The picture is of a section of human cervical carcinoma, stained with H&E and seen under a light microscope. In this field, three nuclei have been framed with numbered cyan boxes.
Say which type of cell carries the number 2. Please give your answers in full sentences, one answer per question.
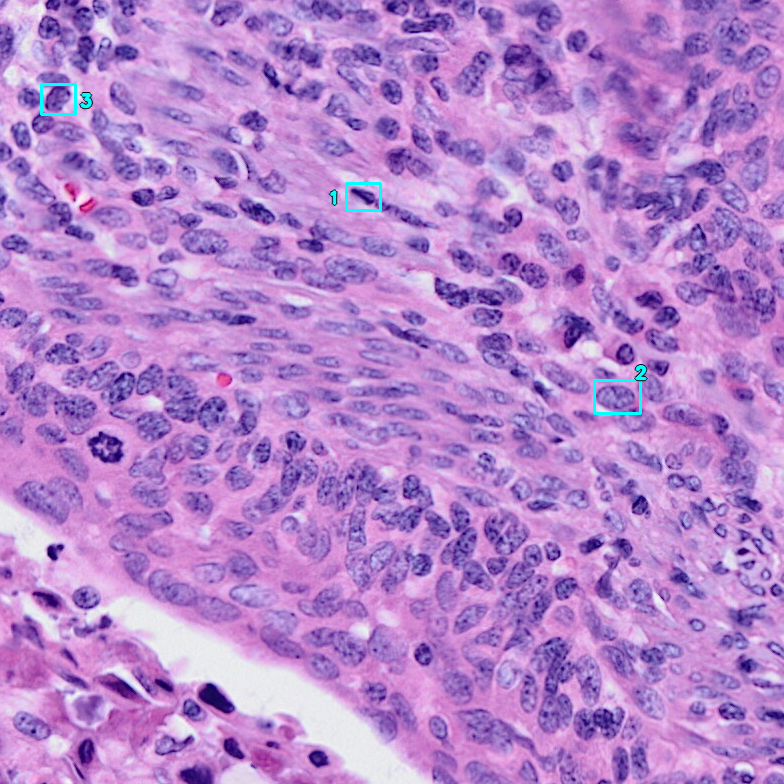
As for number 2, that cell is an endothelial cell.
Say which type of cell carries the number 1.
As for number 1, that cell is a lymphocyte.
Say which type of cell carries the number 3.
Cell 3, as marked in the section, is a lymphocyte.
